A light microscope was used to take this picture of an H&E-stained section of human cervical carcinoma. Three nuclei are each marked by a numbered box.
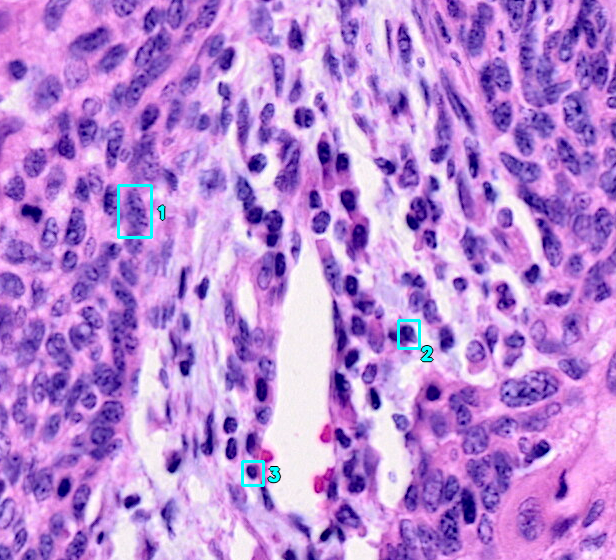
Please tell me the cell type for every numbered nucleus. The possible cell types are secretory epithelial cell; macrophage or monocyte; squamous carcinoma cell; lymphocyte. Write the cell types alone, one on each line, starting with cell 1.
squamous carcinoma cell
lymphocyte
lymphocyte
